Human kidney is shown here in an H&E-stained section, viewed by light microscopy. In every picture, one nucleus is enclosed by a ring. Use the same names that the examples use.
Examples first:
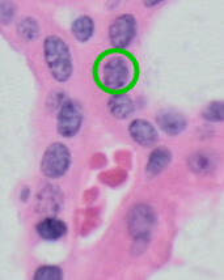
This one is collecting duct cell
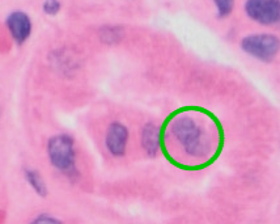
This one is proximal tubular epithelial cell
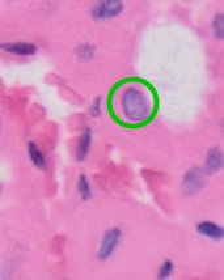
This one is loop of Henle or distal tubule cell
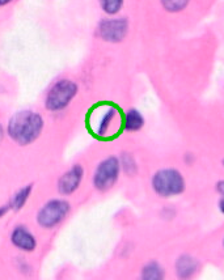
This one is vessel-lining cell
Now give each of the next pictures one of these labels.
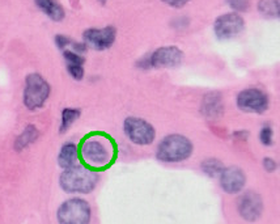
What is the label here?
collecting duct cell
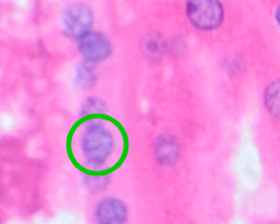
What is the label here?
collecting duct cell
